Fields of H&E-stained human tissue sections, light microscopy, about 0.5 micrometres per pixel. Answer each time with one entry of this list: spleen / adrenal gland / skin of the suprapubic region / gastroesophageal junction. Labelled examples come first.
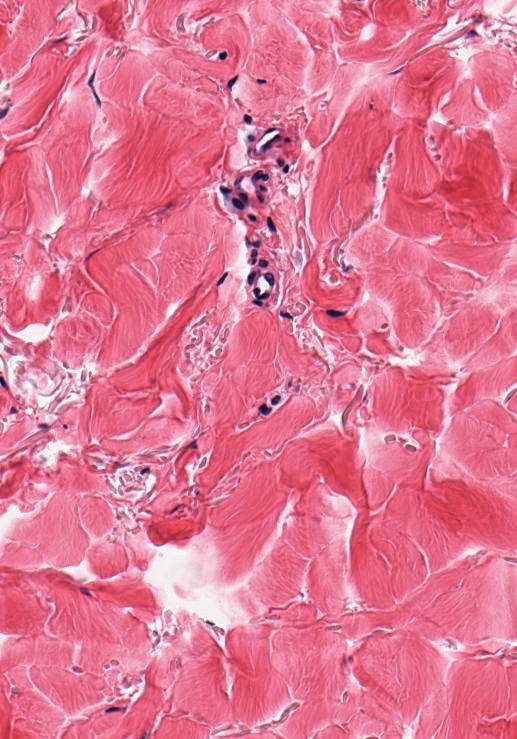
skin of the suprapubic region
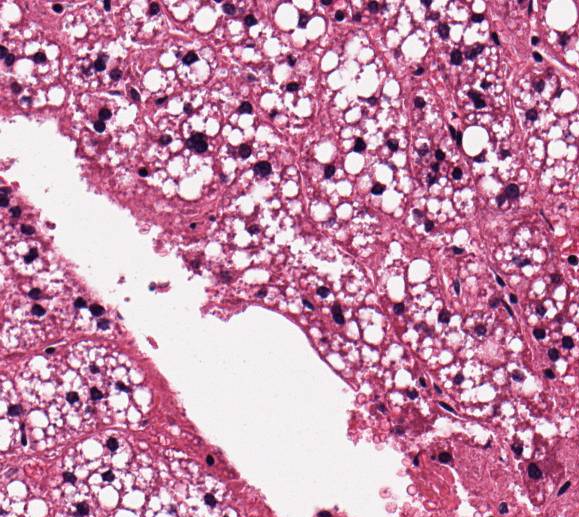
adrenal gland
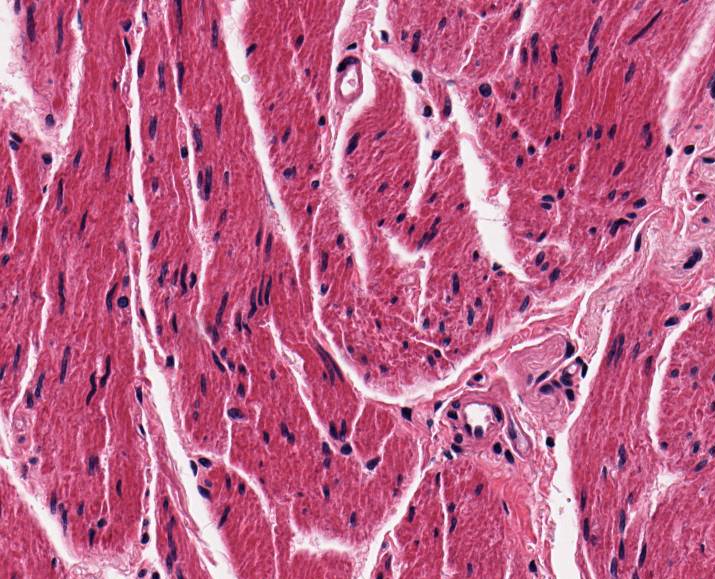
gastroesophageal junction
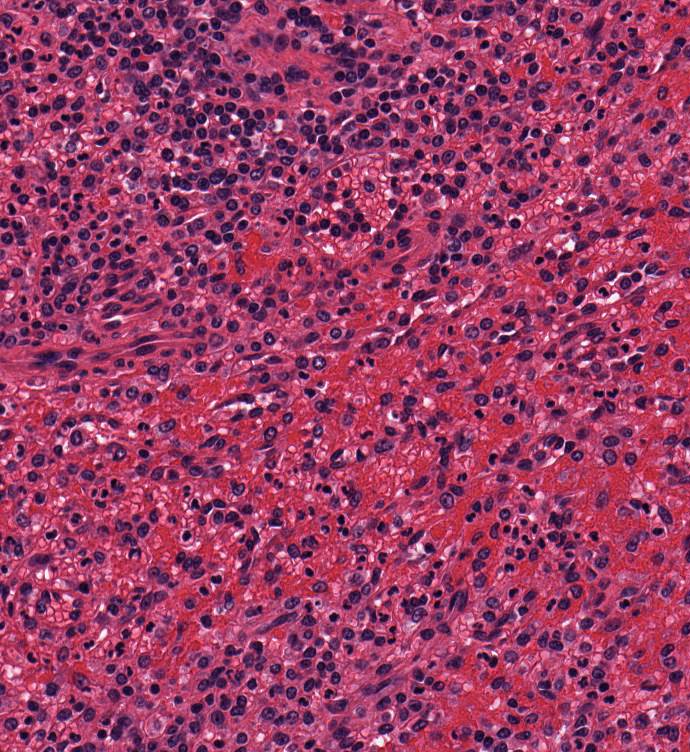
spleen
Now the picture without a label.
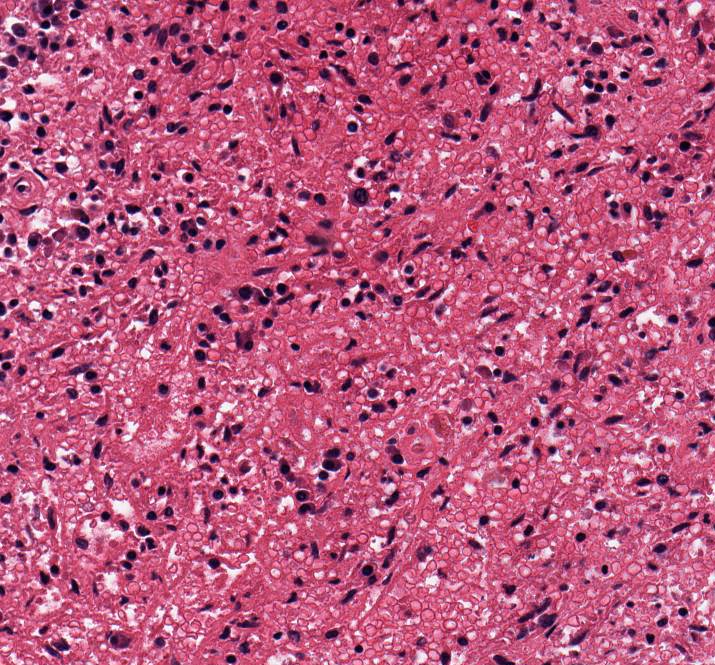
spleen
